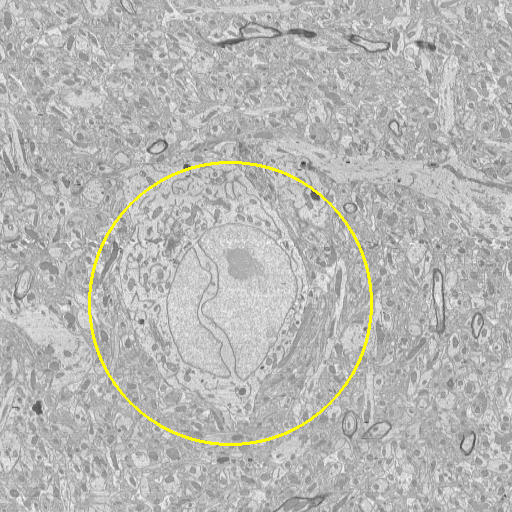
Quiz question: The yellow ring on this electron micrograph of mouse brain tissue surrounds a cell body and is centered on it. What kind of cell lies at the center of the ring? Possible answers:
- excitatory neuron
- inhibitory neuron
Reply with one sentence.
The ring's center lies on an inhibitory neuron.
